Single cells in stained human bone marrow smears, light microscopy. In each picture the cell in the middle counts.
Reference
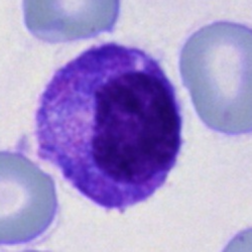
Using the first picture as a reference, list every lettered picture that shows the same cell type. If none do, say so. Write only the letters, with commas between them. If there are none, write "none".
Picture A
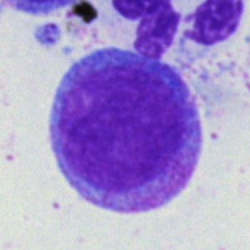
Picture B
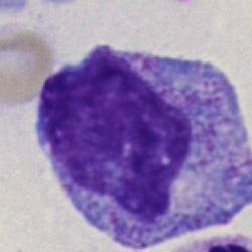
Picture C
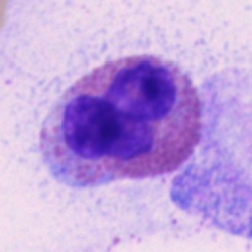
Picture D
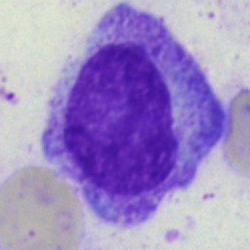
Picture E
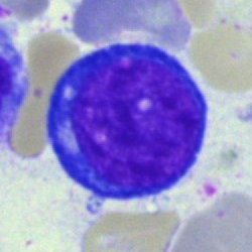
A, B, D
